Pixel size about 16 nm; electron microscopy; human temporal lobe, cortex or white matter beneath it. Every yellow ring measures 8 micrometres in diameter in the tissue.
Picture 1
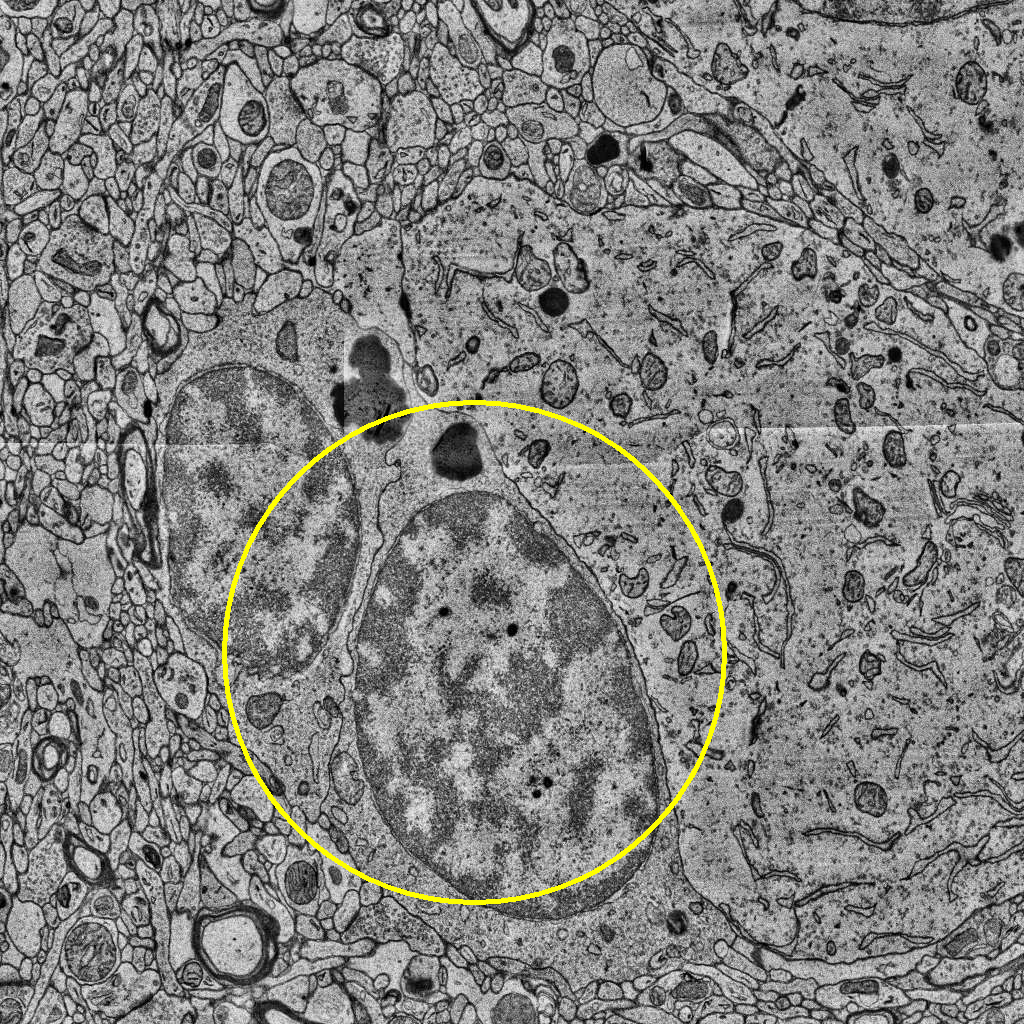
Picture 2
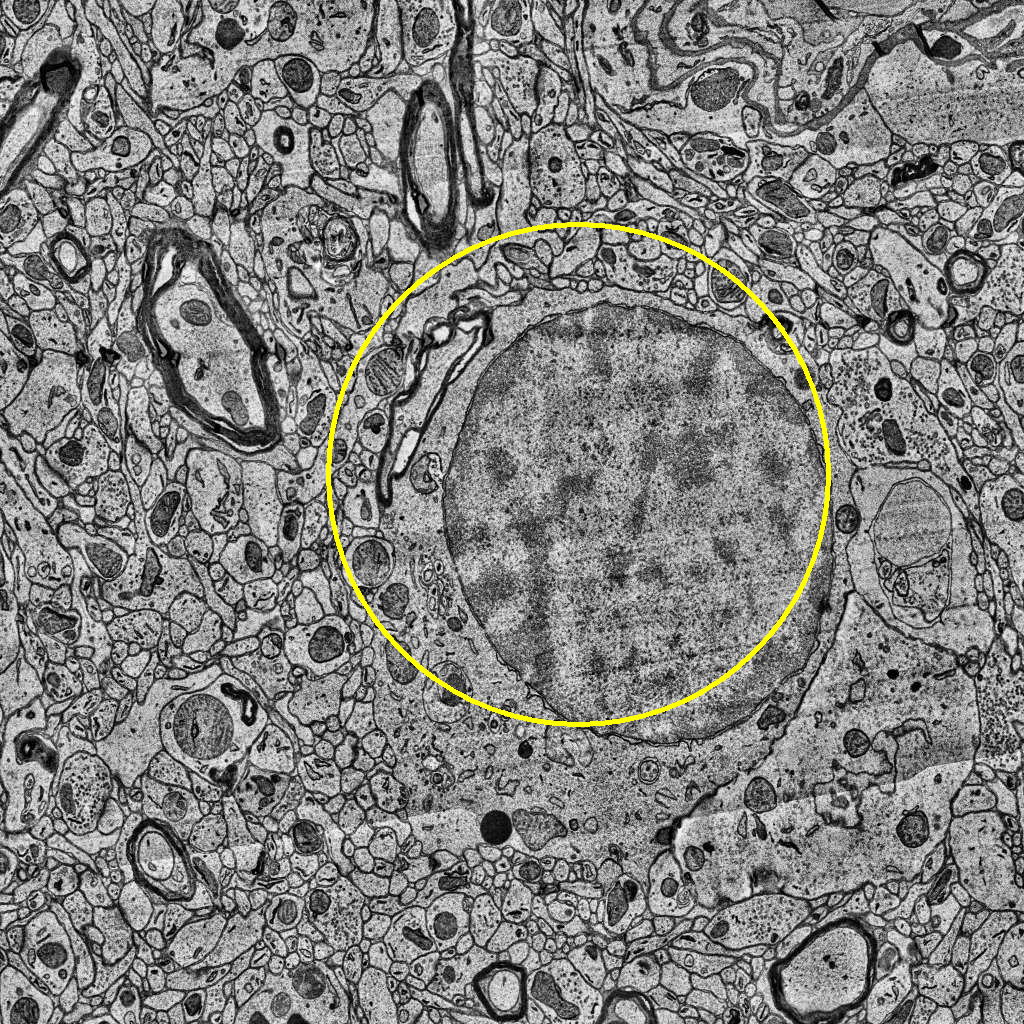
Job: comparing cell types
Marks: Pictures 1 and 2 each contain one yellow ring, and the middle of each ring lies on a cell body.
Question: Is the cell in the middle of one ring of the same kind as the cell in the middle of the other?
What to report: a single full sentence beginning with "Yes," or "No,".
Yes, the cell at the ring centre in Picture 1 and its partner in Picture 2 are of one kind.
